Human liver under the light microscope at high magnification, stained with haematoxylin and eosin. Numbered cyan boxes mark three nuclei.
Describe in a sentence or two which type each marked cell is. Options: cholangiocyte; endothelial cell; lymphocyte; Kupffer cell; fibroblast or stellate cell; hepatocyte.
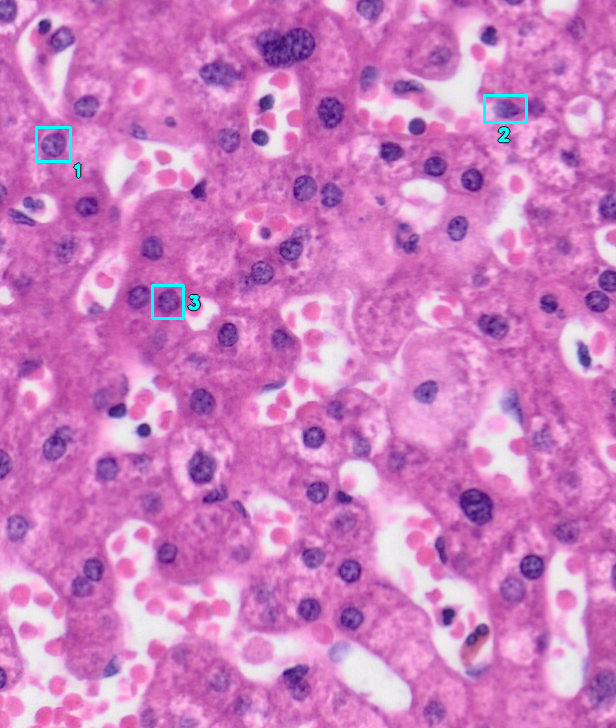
Cells 1 and 3 are hepatocytes. Cell 2 is a fibroblast or stellate cell.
